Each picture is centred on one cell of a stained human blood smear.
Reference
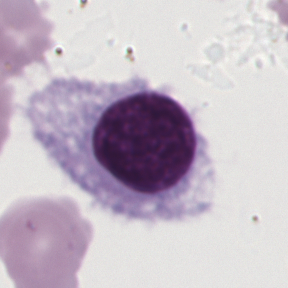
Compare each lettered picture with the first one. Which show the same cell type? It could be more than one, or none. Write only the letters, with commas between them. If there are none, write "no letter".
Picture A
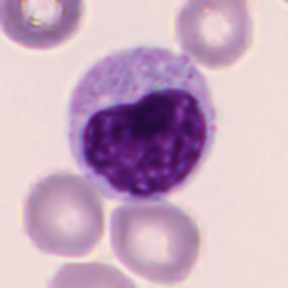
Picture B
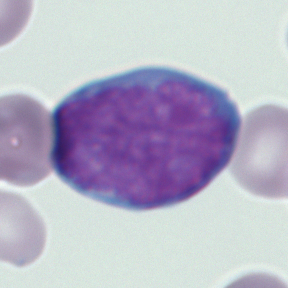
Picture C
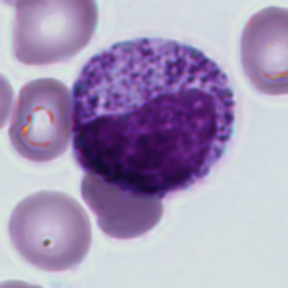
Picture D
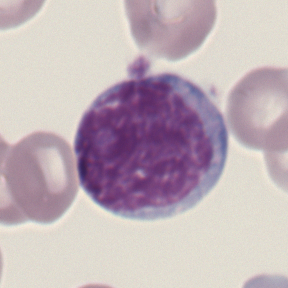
no letter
